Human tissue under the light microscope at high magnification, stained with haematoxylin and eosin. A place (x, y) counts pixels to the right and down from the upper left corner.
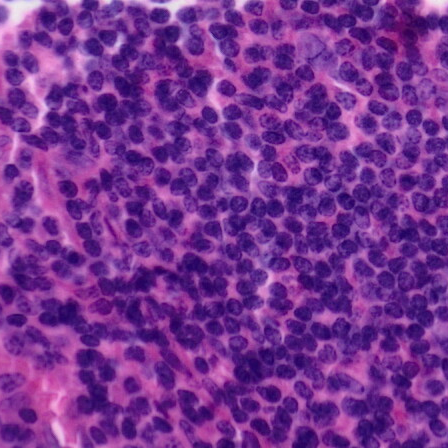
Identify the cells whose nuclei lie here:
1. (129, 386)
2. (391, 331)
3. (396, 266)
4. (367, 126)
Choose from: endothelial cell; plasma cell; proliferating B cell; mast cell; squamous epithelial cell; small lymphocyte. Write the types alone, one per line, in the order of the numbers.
plasma cell
small lymphocyte
small lymphocyte
small lymphocyte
